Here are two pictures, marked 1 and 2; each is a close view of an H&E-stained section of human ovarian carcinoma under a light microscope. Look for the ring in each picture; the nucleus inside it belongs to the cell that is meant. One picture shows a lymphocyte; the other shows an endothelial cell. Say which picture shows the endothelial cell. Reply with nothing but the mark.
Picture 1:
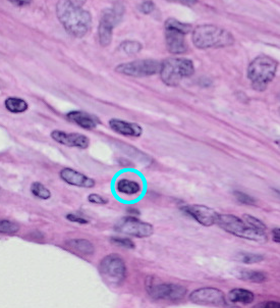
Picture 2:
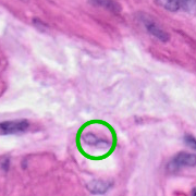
2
